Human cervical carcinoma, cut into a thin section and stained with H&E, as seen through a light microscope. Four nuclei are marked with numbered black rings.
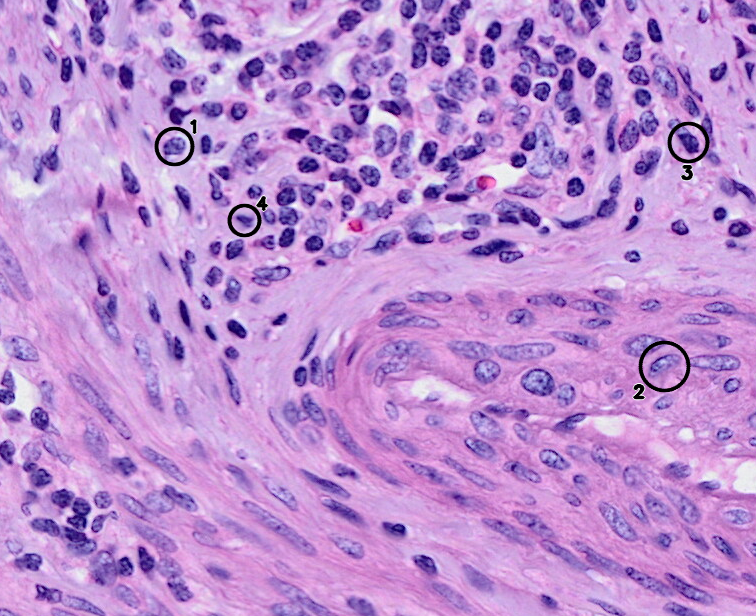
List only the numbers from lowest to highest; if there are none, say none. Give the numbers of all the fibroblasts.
4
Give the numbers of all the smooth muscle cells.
2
